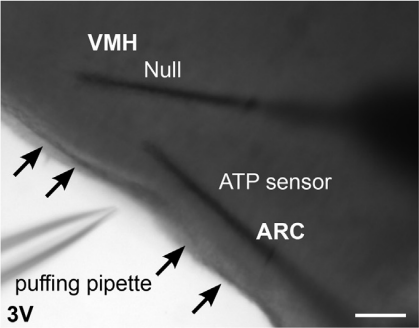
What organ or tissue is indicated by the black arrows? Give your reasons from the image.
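This band borders the bright open space labelled as the ventricle.
Answer: tanycyte layer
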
